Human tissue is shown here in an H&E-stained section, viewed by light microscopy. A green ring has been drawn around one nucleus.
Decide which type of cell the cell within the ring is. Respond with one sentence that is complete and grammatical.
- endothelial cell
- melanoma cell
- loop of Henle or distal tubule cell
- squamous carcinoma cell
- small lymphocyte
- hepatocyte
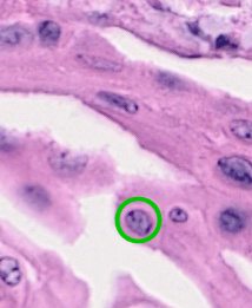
By its classification, the cell within the ring is a squamous carcinoma cell.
